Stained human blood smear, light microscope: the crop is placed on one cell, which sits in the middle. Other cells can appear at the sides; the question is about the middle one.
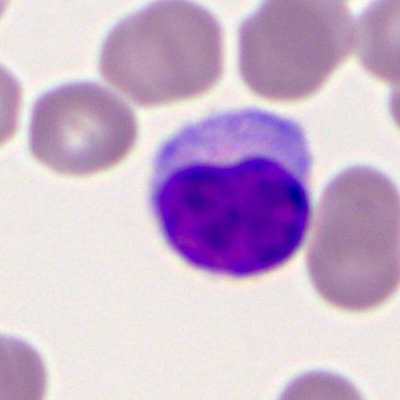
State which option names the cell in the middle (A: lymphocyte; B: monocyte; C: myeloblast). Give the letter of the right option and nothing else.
A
